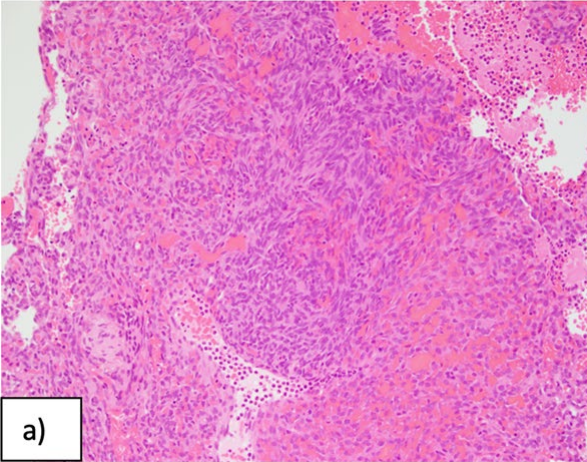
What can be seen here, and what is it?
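Highly cellular spindle cell tumour composed of closely packed cells with elongated, dark-purple, spindle-shaped nuclei and scant pink cytoplasm. The cells form interlacing short fascicles and whorled bundles. Extravasated red blood cells lie within and around the cellular tissue, forming pink lakes at the edges.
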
